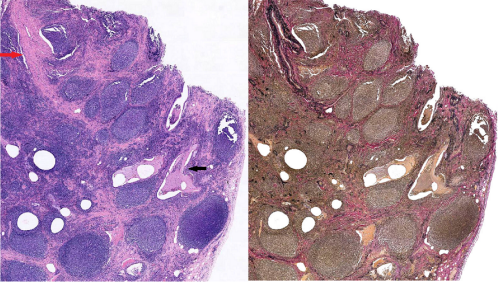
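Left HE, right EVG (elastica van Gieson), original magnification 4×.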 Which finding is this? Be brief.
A: Hyperplasia of lymphoid follicles with an enlarged germinal centre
